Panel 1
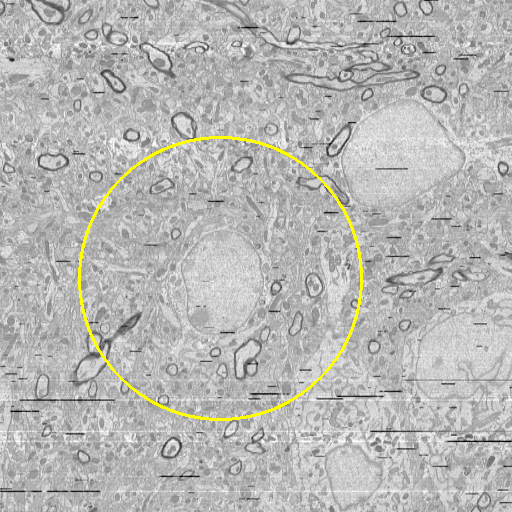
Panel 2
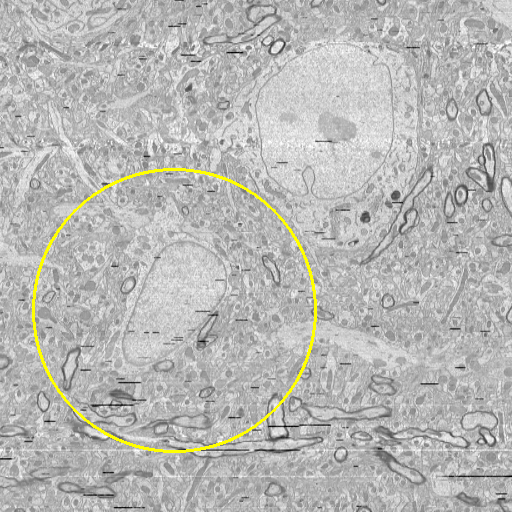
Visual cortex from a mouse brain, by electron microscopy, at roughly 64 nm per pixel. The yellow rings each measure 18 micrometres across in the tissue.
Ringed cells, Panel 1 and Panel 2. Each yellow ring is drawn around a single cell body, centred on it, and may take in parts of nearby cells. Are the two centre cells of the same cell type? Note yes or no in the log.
yes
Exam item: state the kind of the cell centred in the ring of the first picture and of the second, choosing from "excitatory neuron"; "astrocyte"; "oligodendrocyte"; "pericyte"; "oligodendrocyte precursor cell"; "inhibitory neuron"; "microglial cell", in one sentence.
Each of the ringed cells, first and second, is an astrocyte.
